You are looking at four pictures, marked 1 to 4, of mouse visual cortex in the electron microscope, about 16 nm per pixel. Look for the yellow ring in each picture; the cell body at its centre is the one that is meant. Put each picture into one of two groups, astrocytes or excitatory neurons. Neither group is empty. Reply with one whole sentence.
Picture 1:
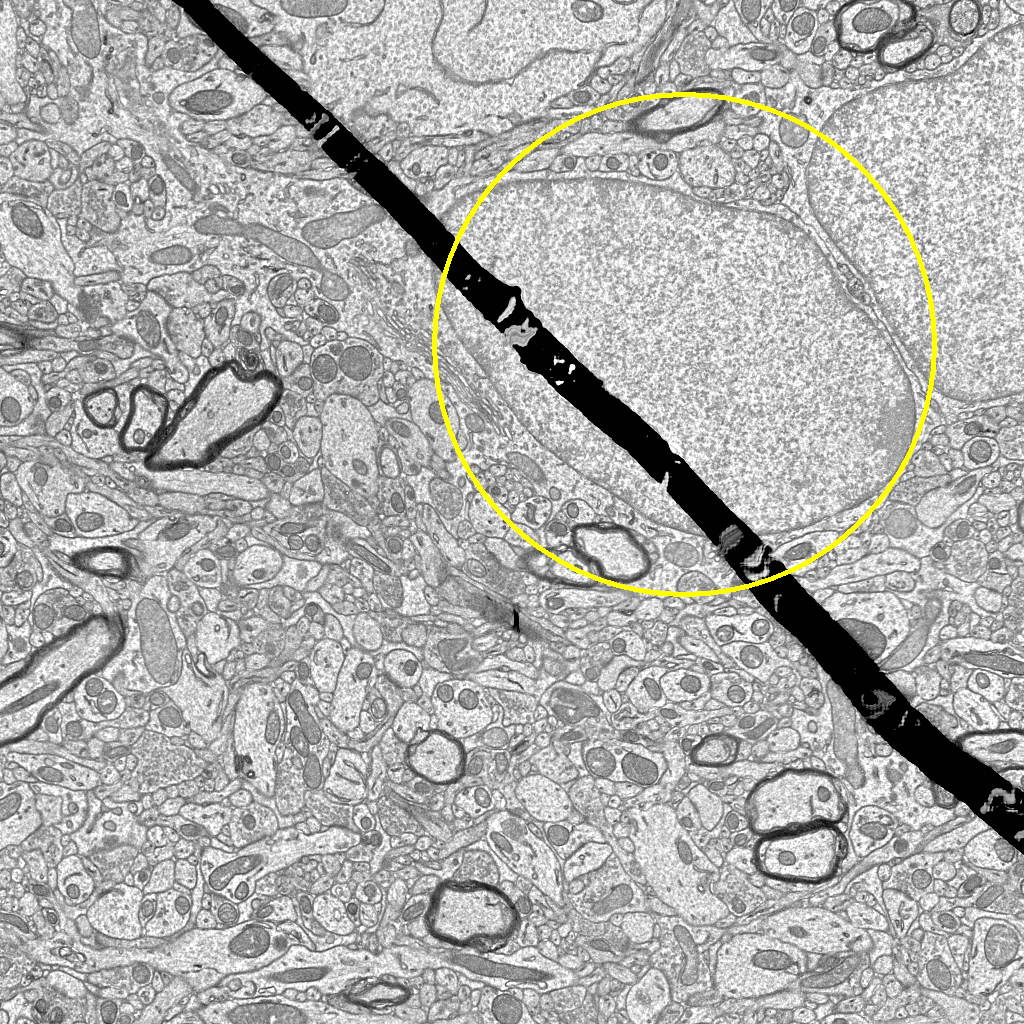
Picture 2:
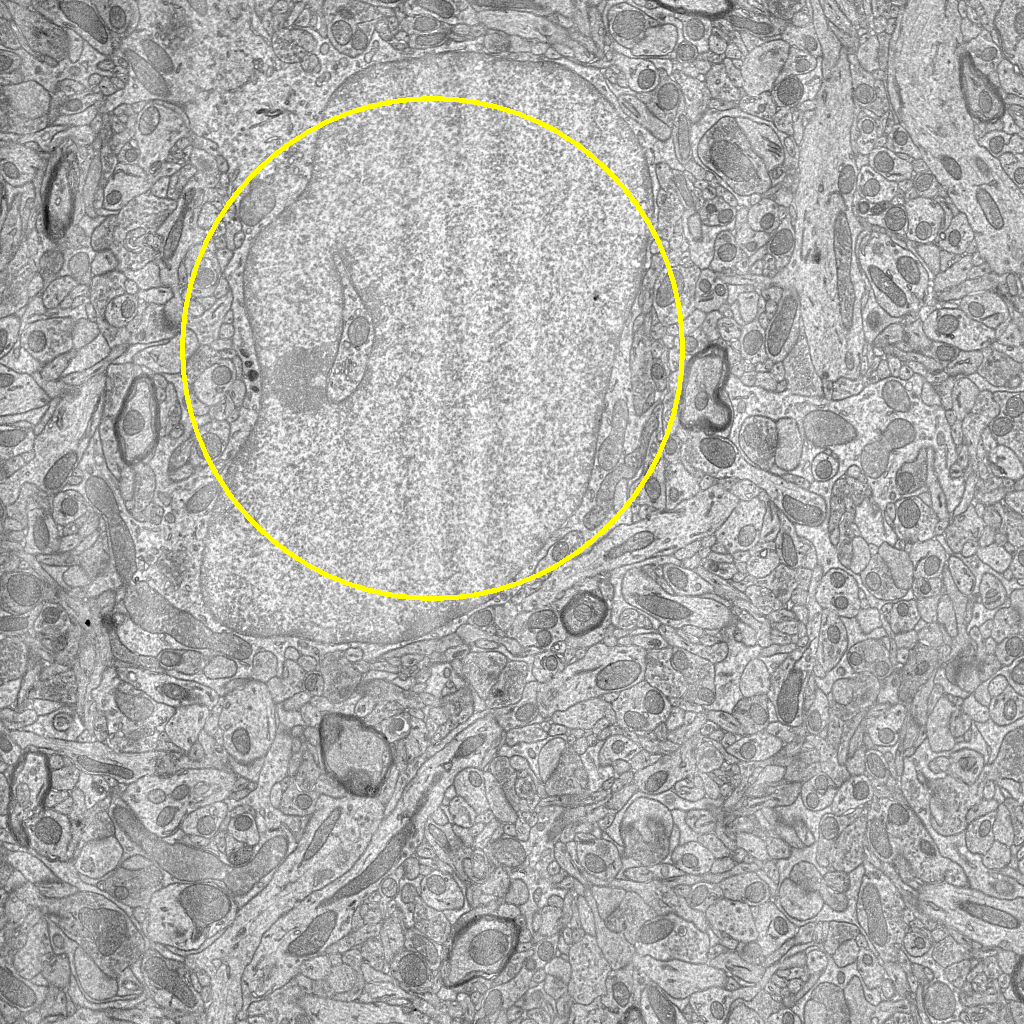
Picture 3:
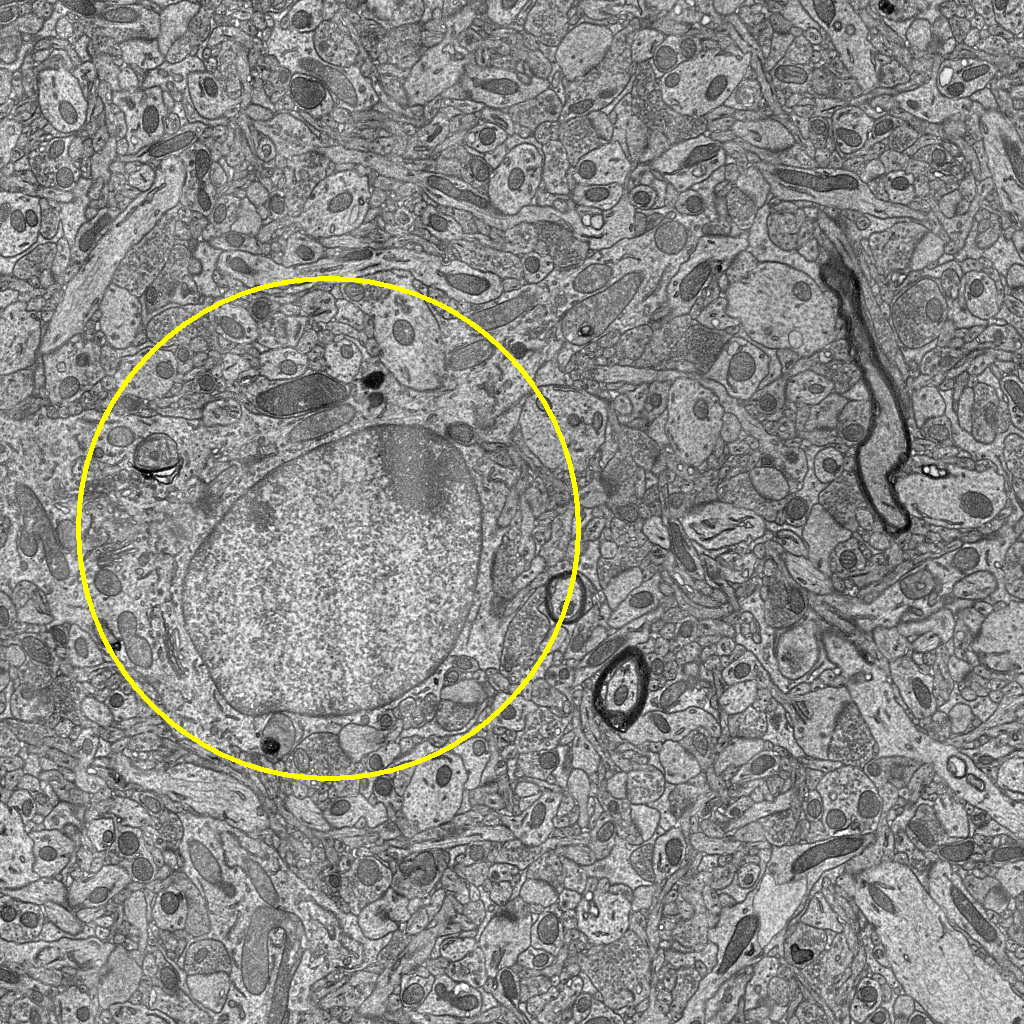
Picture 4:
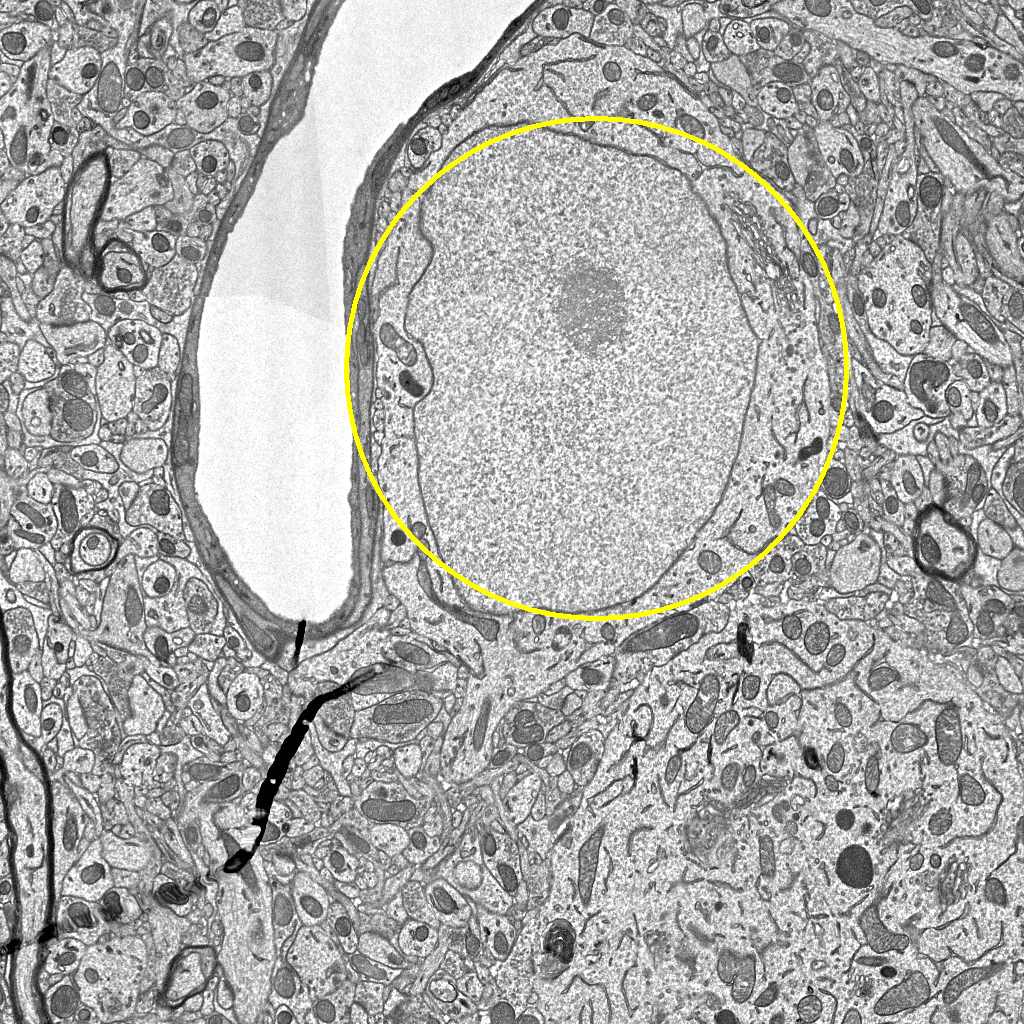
Pictures 1, 2 and 3 show astrocytes, and picture 4 shows an excitatory neuron.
